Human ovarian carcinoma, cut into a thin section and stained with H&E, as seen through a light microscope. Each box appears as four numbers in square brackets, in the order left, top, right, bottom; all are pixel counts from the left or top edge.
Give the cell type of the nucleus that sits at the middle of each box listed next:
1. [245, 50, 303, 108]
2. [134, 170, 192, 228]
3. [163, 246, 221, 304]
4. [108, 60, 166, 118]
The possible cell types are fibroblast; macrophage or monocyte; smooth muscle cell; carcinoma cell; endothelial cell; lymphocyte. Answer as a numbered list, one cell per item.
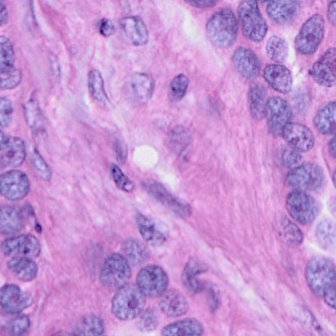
1. carcinoma cell
2. fibroblast
3. fibroblast
4. fibroblast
